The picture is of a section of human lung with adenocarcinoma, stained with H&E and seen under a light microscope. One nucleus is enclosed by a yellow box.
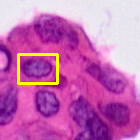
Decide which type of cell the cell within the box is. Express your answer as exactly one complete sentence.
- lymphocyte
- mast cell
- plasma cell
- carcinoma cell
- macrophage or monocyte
In this preparation, the cell within the box is a carcinoma cell.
